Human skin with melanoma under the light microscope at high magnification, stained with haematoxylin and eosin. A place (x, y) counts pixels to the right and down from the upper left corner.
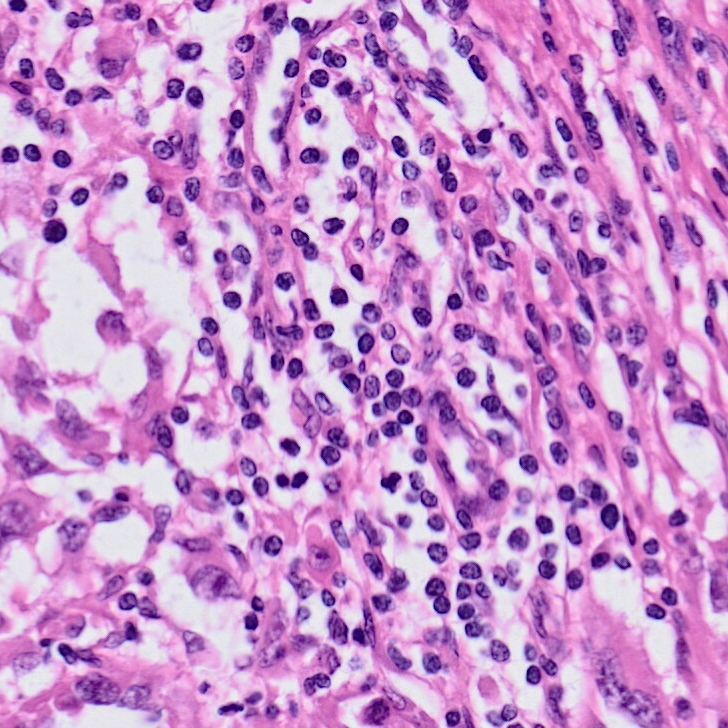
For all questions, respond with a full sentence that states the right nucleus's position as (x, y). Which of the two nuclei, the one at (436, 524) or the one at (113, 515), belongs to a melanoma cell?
Of the two nuclei, the one sitting at (113, 515) belongs to a melanoma cell.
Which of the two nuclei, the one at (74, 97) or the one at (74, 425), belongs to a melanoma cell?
Which one belongs to a melanoma cell? The nucleus at (74, 425) does.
